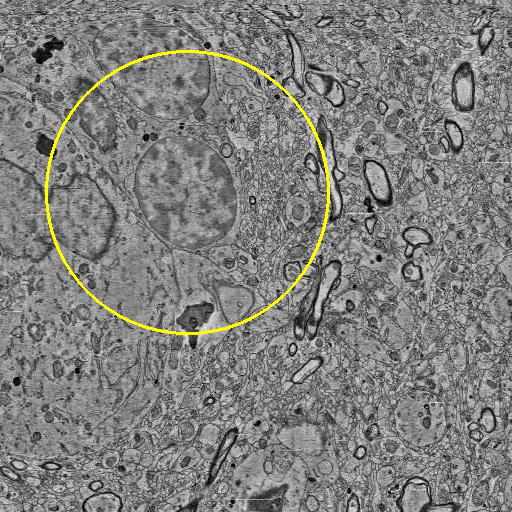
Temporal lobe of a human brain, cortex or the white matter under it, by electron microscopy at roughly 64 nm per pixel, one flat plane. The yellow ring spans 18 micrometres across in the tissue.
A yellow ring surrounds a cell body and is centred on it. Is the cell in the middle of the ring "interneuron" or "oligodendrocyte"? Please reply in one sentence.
The ring is centred on an oligodendrocyte.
